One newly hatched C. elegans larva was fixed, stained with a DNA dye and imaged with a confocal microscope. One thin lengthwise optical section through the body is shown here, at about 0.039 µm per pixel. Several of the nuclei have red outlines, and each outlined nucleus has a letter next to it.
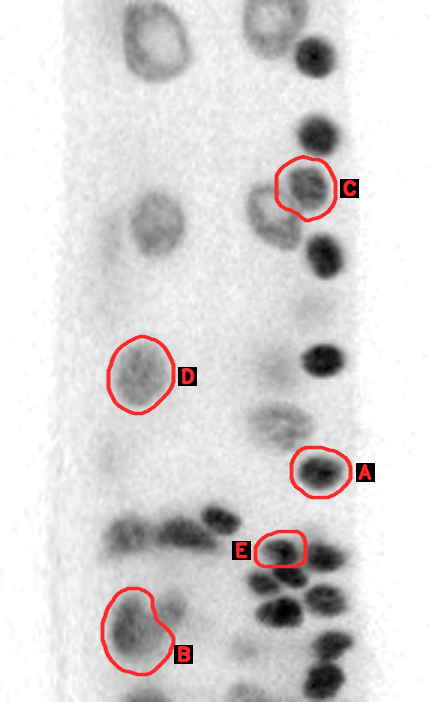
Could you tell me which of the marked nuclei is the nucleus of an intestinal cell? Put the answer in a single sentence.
D is the one that belongs to an intestinal cell.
